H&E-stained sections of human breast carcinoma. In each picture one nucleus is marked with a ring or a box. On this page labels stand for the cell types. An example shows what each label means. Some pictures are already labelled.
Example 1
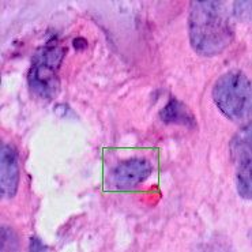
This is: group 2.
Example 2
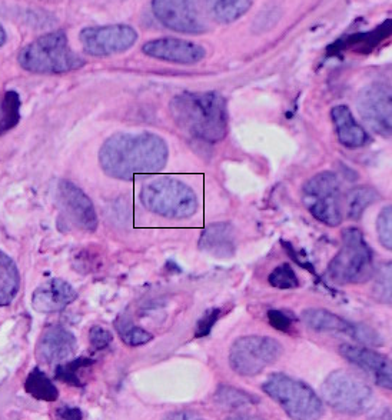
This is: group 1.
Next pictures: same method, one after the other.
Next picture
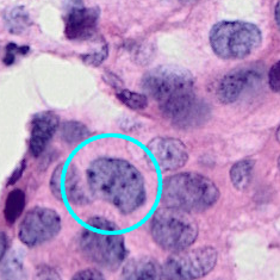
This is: group 1.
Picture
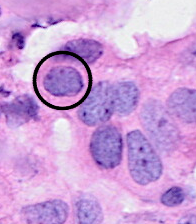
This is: group 1.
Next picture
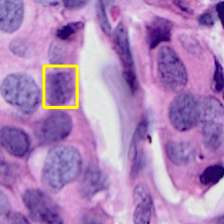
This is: group 1.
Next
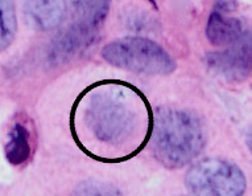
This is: group 1.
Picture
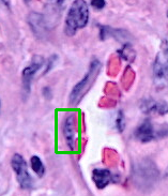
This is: group 2.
